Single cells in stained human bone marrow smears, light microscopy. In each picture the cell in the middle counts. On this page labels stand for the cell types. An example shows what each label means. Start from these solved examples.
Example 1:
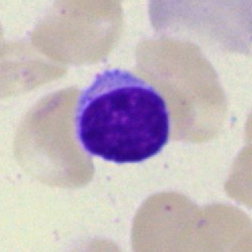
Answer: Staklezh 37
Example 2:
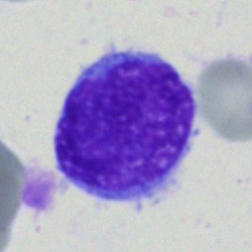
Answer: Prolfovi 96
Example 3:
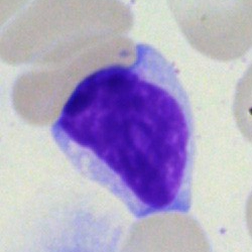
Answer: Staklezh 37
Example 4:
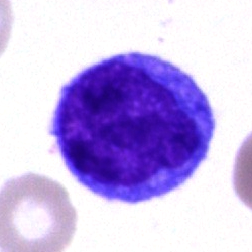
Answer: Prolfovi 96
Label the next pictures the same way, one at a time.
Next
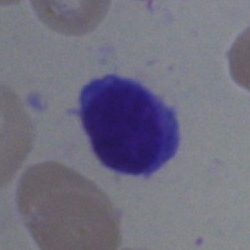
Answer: Staklezh 37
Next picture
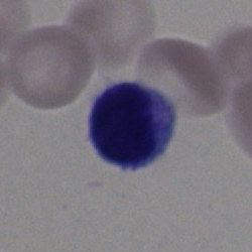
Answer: Staklezh 37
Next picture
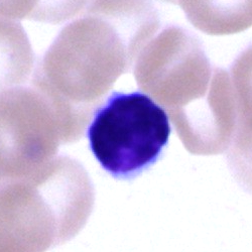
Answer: Staklezh 37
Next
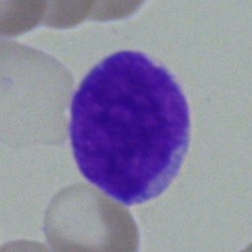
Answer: Prolfovi 96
